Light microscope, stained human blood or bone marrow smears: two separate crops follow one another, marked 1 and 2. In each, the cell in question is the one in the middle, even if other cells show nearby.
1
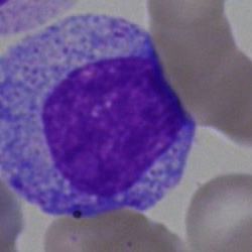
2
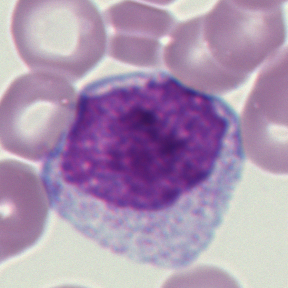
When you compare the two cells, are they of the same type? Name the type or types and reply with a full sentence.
Yes, promyelocytes are at the centre in both crops.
